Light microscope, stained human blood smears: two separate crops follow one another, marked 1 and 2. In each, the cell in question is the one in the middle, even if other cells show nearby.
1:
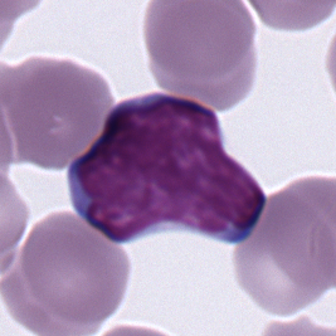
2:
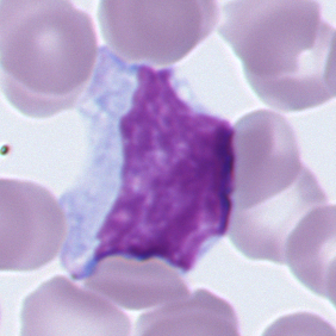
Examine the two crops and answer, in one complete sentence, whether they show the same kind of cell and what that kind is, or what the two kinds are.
Yes, it is typical lymphocytes that both crops show.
